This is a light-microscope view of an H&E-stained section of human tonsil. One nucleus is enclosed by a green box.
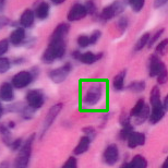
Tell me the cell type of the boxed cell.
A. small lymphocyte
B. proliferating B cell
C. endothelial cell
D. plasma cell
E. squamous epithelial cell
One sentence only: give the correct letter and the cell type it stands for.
Since the boxed cell is an endothelial cell, option C is correct.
